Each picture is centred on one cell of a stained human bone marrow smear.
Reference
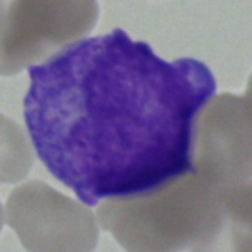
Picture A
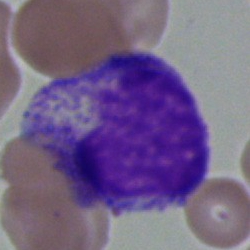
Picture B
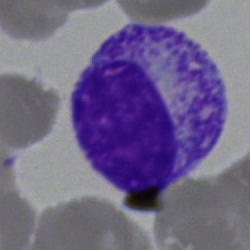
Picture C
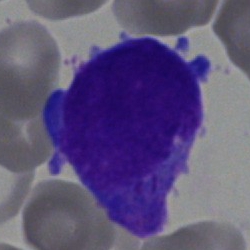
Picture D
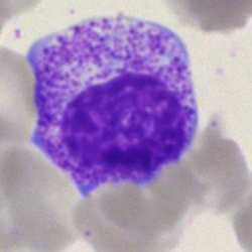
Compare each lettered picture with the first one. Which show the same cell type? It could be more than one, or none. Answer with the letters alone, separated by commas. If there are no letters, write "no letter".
C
